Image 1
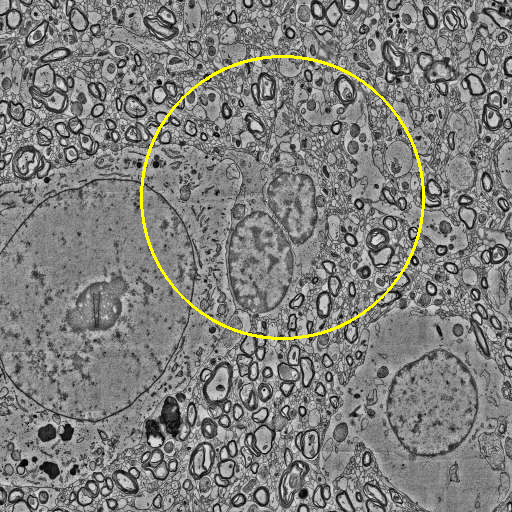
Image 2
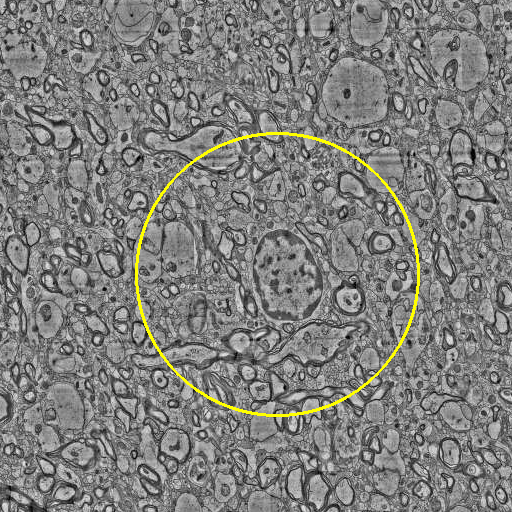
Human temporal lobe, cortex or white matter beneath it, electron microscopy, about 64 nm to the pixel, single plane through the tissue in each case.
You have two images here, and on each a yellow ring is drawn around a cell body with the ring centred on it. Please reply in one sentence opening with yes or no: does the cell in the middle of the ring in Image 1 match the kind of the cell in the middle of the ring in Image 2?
No, the two images show cells of two kinds at the centres of their rings.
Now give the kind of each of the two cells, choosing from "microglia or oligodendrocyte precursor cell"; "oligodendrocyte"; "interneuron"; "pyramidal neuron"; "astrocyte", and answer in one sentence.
The cell in the first picture is an oligodendrocyte, and the cell in the second is a microglial cell or oligodendrocyte precursor cell.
